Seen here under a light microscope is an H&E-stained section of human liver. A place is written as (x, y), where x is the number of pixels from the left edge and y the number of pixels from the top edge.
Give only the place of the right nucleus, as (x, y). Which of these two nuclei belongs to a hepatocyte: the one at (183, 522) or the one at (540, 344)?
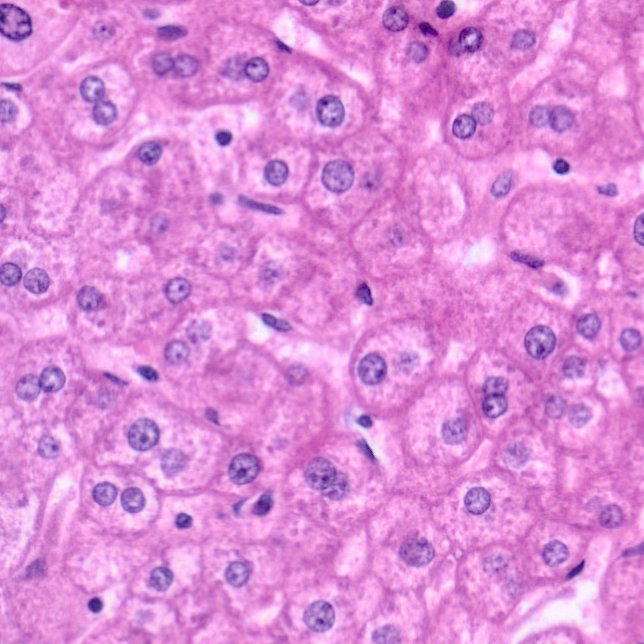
(540, 344)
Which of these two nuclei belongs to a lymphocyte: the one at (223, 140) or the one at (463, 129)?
(223, 140)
